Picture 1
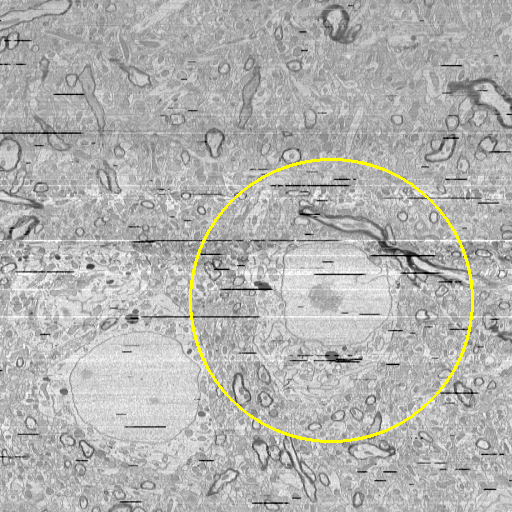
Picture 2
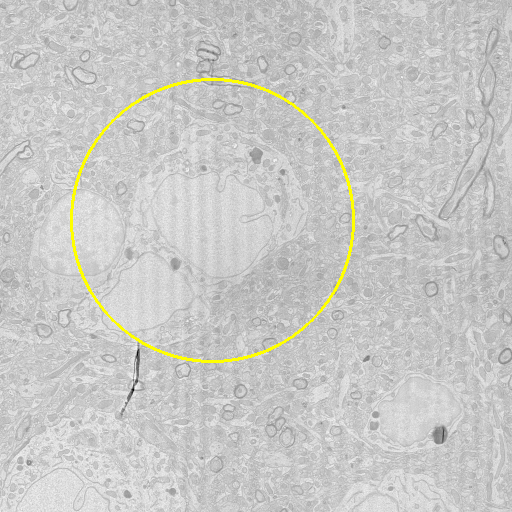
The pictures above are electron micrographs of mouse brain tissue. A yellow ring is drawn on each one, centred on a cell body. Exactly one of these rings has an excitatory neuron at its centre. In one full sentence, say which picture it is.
Picture 2 has it at the centre of its ring.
